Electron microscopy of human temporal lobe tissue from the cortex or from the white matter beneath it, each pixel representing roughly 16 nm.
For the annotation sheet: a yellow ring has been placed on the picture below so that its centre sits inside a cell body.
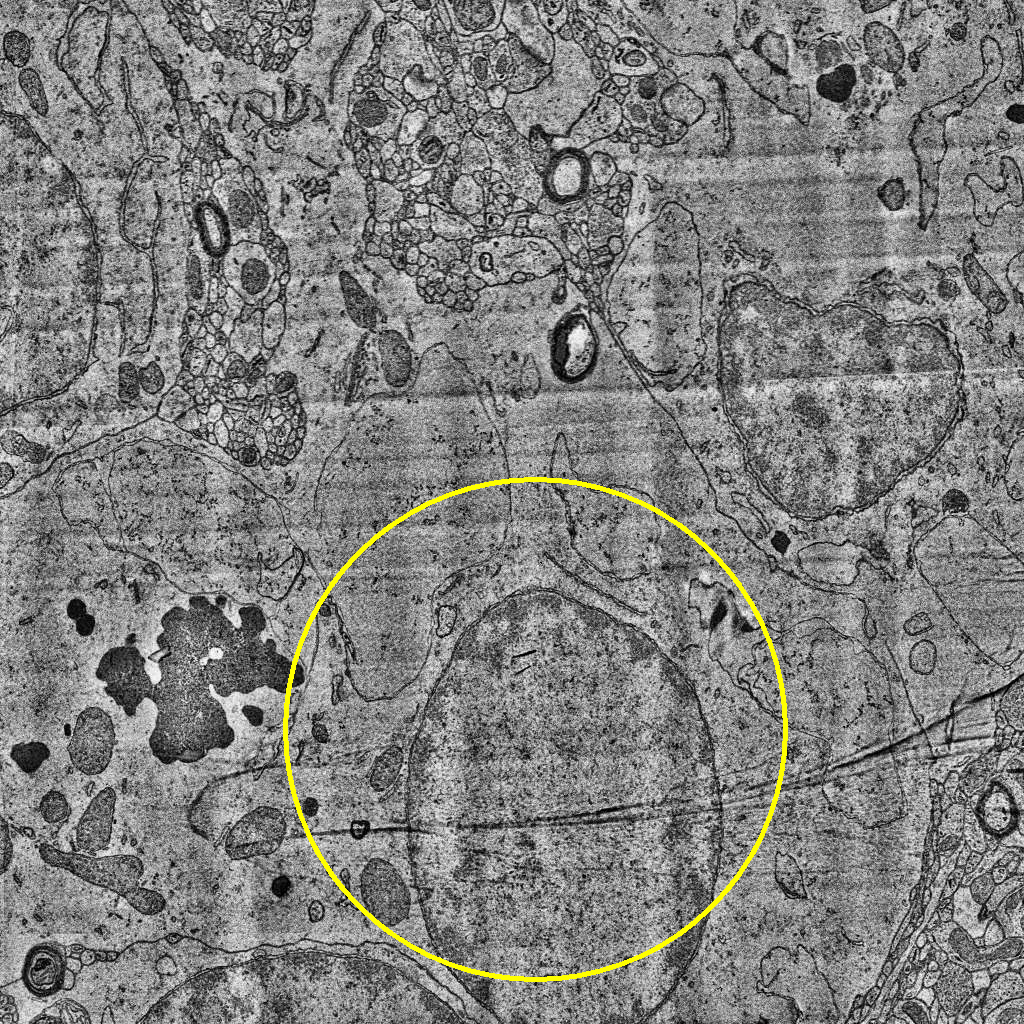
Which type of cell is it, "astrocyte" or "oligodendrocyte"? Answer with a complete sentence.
The cell at the ring's centre is an astrocyte.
